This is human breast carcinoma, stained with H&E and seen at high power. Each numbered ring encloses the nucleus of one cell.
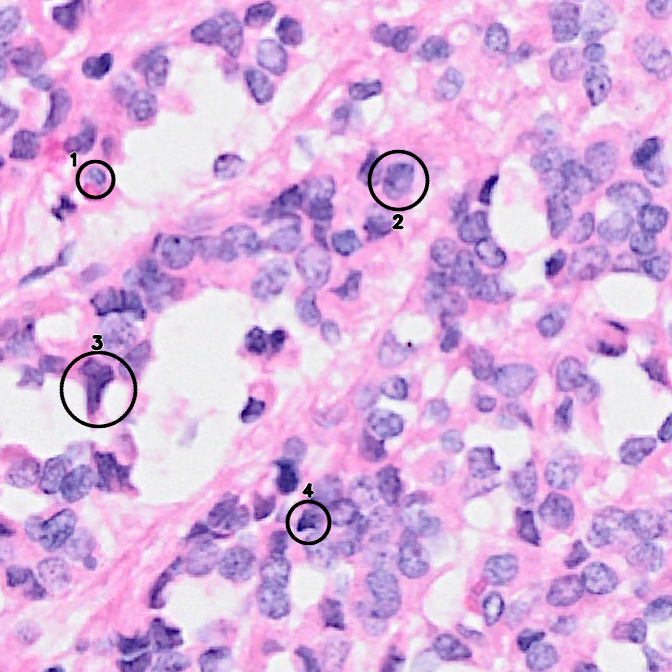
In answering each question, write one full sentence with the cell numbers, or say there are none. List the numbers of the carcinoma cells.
The cells assigned the numbers 2, 3 and 4 are carcinoma cells.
